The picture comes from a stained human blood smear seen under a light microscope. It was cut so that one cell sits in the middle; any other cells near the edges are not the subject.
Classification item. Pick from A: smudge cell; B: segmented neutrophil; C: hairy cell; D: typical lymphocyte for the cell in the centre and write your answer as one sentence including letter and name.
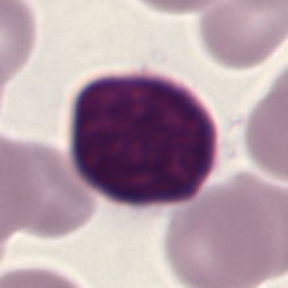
Here the right option is A, as the cell in the middle is a smudge cell.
